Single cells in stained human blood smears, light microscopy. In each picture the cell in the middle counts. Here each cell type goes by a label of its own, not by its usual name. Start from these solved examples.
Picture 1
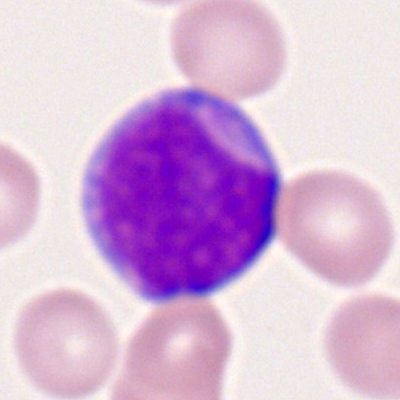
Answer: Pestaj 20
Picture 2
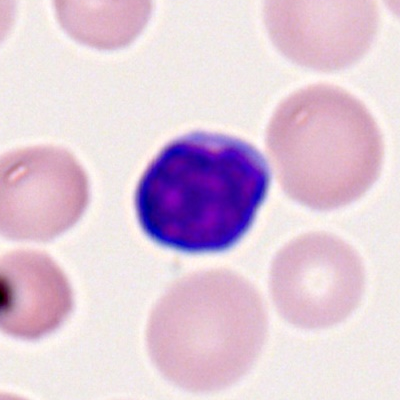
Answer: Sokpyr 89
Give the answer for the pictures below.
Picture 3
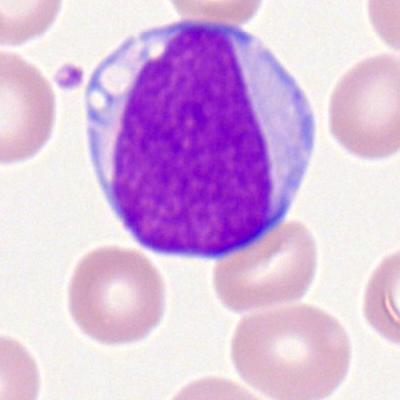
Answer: Pestaj 20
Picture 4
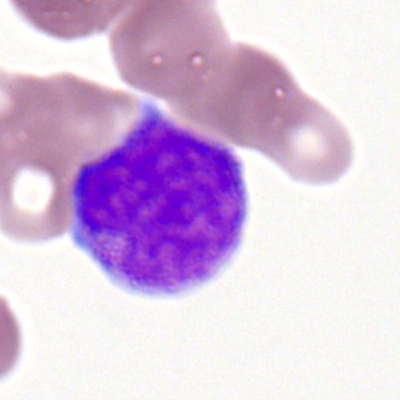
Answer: Pestaj 20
